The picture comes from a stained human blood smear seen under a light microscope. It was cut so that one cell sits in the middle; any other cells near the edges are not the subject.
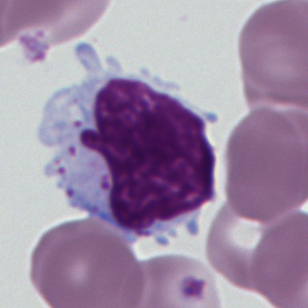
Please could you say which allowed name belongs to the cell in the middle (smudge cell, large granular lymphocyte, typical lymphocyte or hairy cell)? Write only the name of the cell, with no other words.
large granular lymphocyte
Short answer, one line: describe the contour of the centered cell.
An irregular outline, ragged or marked by projections, surrounds this cell.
